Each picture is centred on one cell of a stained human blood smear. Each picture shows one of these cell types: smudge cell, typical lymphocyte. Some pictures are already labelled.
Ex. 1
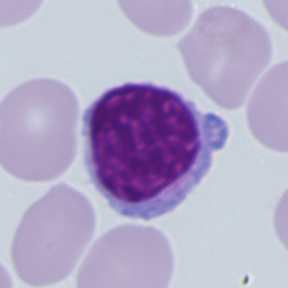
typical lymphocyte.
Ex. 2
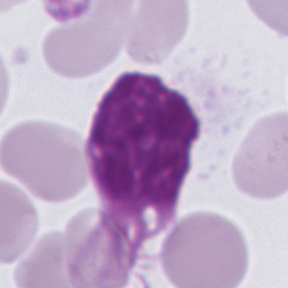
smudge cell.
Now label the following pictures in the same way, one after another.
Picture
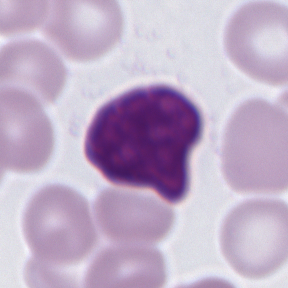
smudge cell.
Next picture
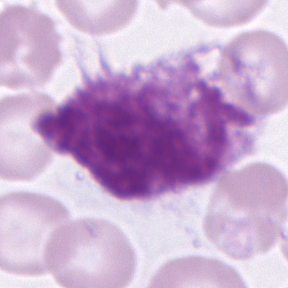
smudge cell.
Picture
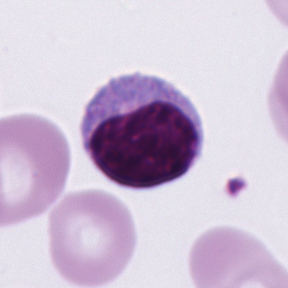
typical lymphocyte.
